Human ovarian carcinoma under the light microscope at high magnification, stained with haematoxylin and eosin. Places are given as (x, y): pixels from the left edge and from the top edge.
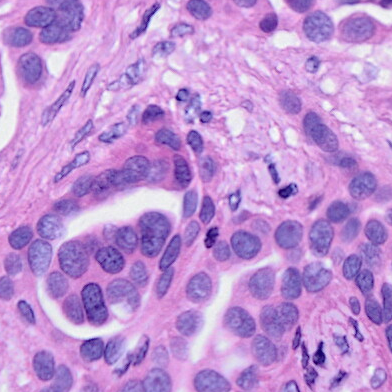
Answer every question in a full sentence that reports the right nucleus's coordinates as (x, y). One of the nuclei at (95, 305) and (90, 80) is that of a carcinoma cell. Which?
That would be the nucleus at (95, 305); it belongs to a carcinoma cell.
